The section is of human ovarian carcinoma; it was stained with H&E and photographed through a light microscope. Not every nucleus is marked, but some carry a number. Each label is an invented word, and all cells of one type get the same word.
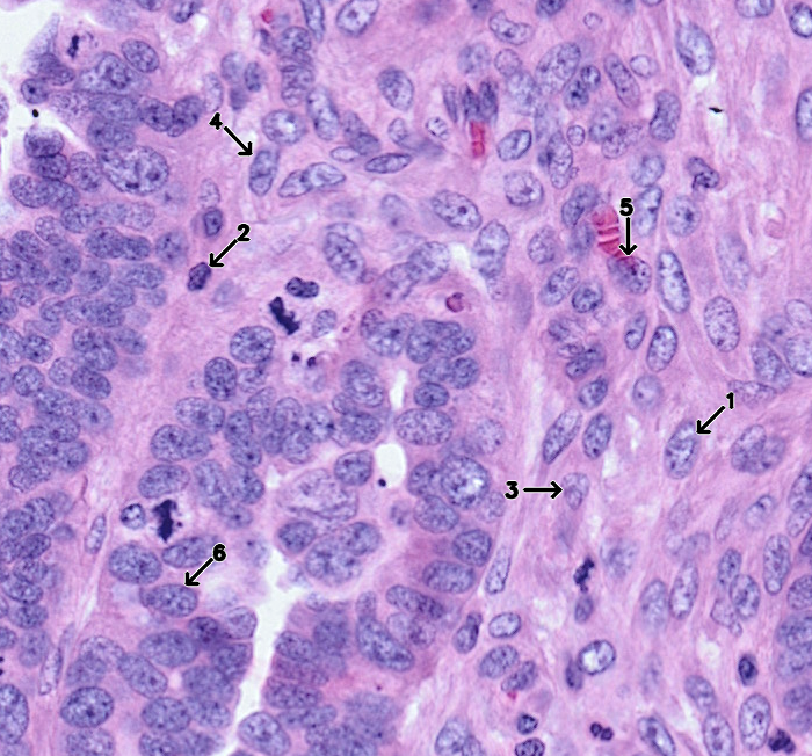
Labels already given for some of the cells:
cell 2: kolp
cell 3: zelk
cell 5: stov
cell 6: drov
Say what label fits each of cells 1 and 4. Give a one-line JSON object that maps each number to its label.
{"1": "zelk", "4": "zelk"}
